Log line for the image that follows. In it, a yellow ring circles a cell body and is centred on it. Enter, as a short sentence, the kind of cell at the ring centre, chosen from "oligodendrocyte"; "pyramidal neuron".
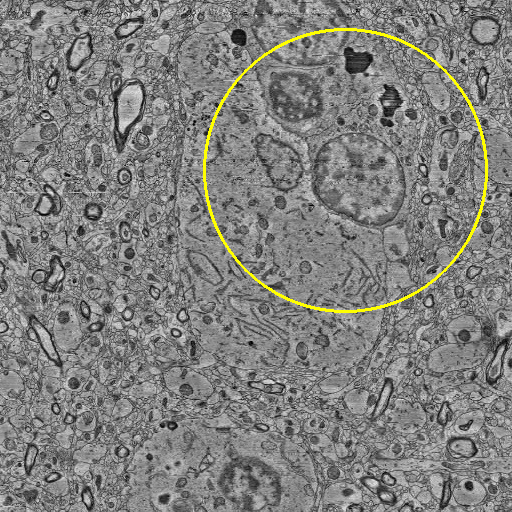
The ring centre is occupied by an oligodendrocyte.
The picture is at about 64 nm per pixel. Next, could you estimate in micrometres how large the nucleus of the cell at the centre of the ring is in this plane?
In this plane the nucleus measures roughly 6 micrometres across.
